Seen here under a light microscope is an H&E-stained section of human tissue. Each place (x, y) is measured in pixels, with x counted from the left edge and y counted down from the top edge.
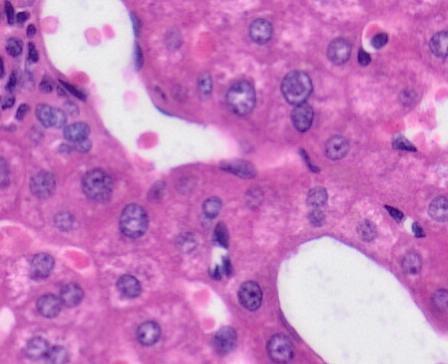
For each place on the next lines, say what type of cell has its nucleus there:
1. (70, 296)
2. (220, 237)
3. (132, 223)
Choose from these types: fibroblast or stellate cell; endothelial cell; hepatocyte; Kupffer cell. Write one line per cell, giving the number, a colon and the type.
1: hepatocyte
2: fibroblast or stellate cell
3: hepatocyte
